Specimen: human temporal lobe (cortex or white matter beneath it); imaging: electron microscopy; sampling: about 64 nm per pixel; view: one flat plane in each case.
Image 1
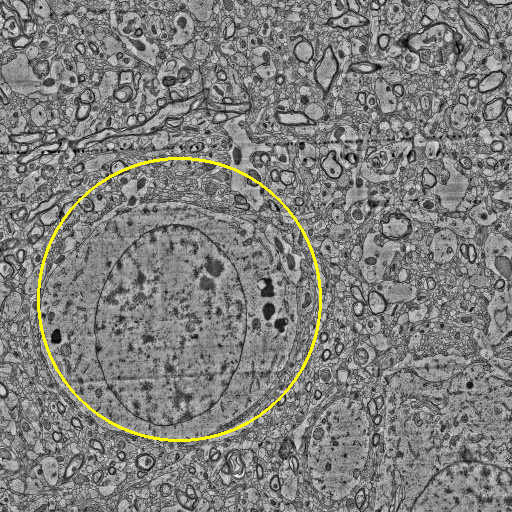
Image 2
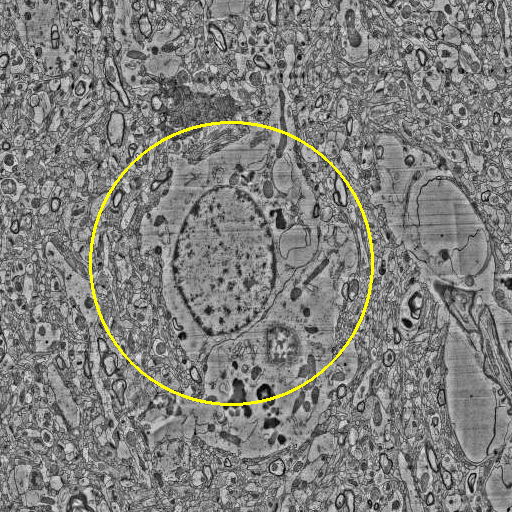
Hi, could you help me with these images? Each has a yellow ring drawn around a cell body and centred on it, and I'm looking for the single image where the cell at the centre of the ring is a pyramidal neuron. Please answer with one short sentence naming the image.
It is Image 1 that has it at the centre of its ring.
